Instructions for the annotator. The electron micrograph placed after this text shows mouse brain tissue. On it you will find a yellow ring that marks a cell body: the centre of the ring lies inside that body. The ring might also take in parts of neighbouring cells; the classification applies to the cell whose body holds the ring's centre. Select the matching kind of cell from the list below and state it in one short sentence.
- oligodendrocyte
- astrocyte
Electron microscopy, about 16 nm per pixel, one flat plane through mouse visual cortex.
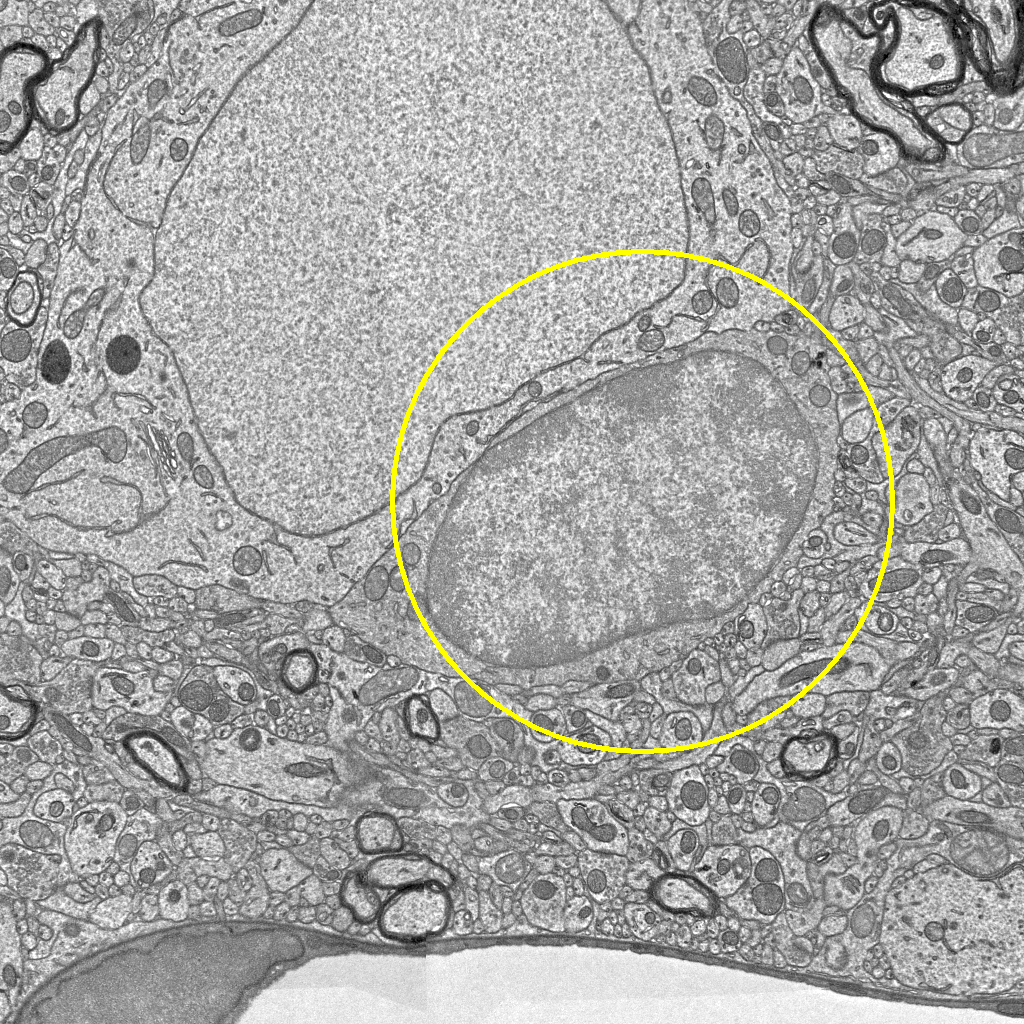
The centre of the ring lies in the cell body of an oligodendrocyte.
